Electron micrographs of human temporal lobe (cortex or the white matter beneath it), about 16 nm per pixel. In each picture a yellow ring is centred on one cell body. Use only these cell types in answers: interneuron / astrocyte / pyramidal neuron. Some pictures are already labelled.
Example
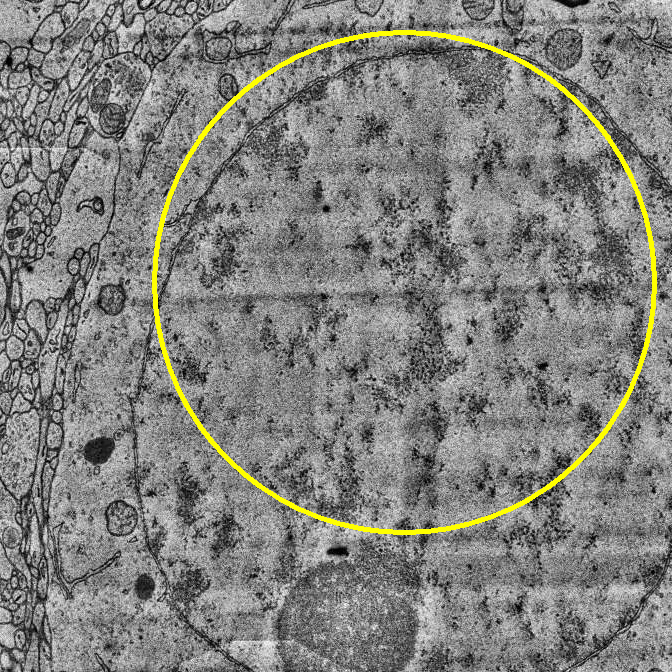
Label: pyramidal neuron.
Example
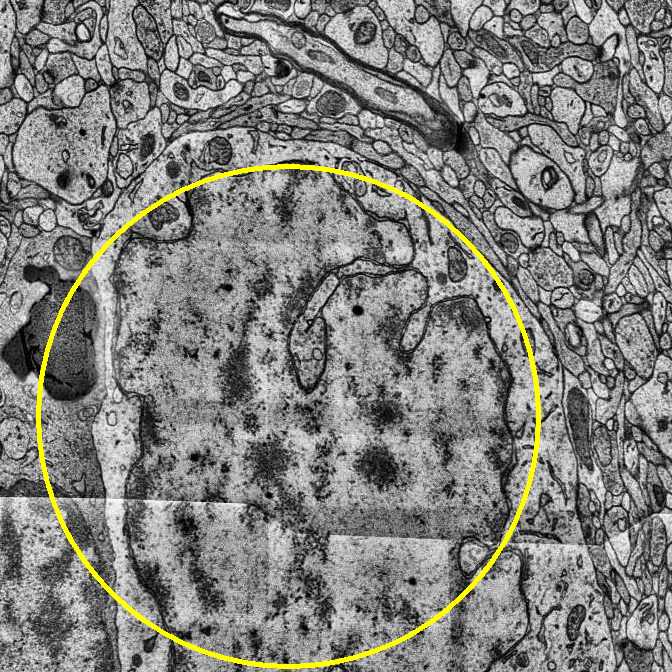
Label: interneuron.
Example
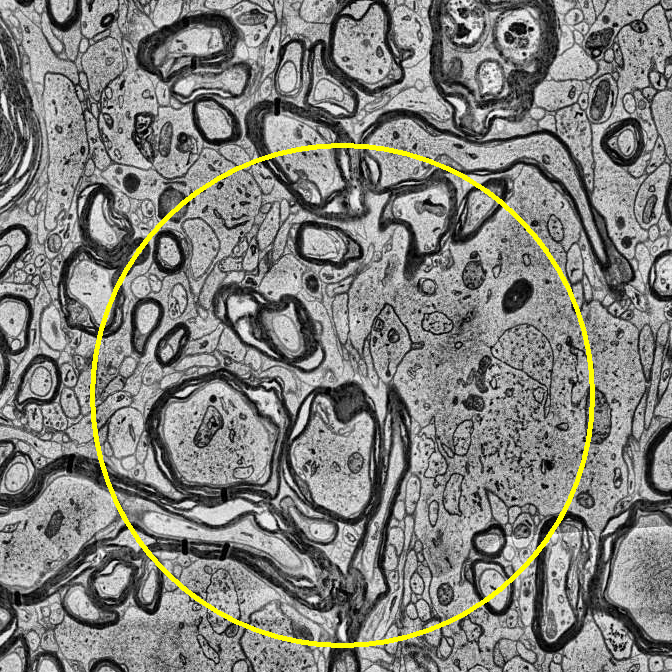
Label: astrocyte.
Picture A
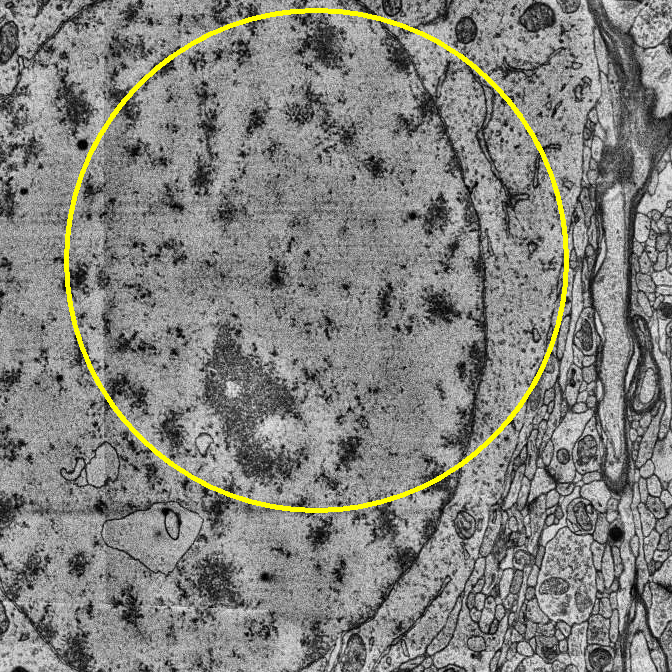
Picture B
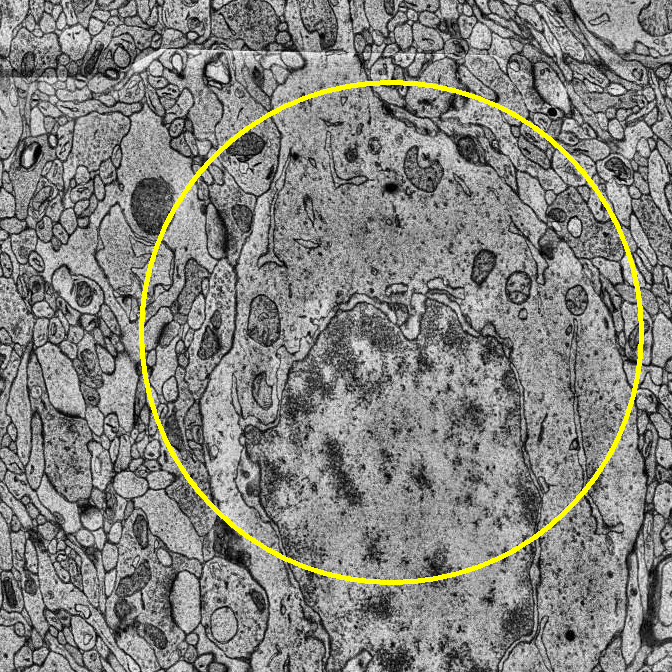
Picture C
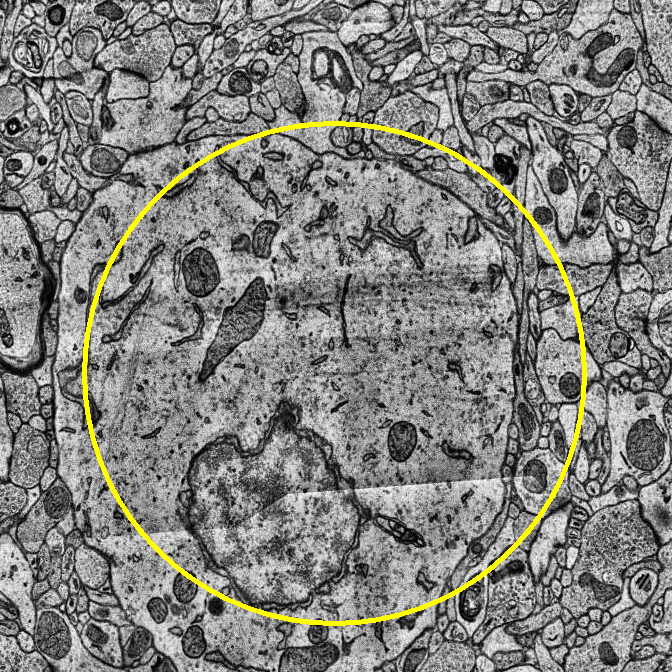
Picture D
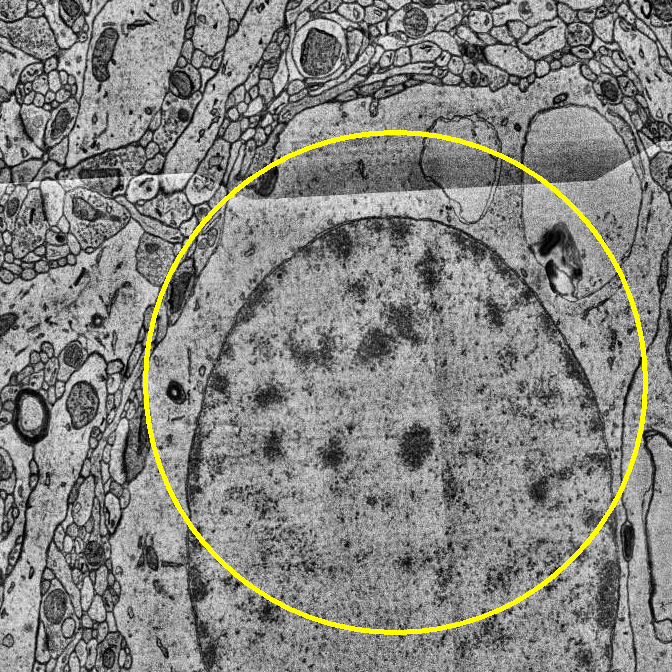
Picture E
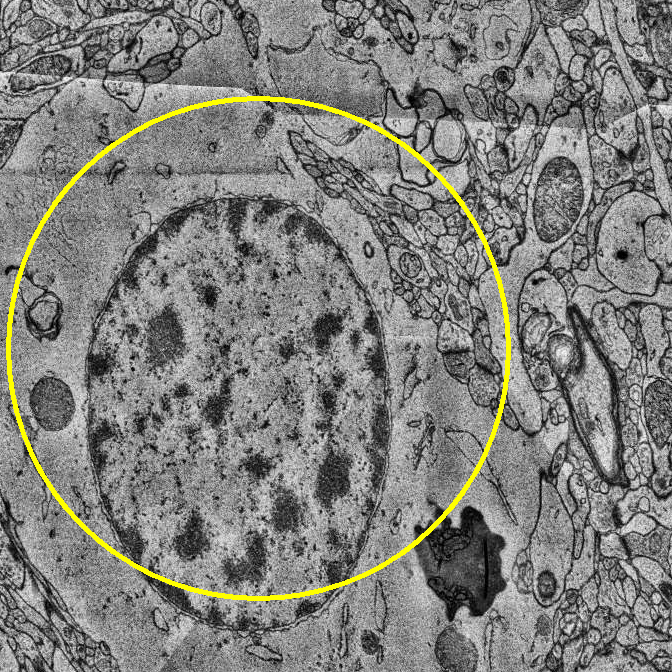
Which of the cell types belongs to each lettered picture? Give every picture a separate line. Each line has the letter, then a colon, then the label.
A: pyramidal neuron.
B: interneuron.
C: pyramidal neuron.
D: astrocyte.
E: astrocyte.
